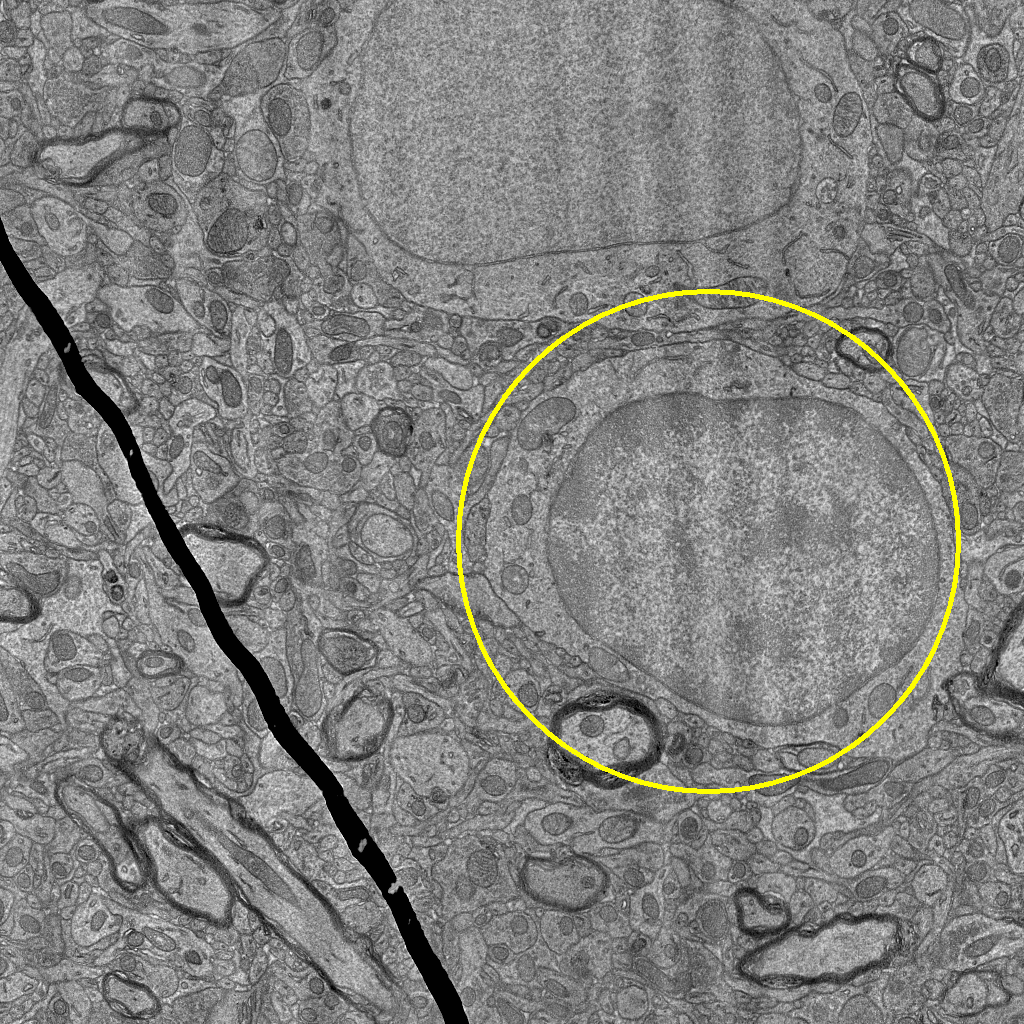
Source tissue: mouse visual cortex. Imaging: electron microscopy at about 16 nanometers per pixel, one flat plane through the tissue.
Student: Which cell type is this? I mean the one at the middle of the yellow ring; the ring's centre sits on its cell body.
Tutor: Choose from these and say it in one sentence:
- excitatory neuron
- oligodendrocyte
The cell at the ring's centre is an oligodendrocyte.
